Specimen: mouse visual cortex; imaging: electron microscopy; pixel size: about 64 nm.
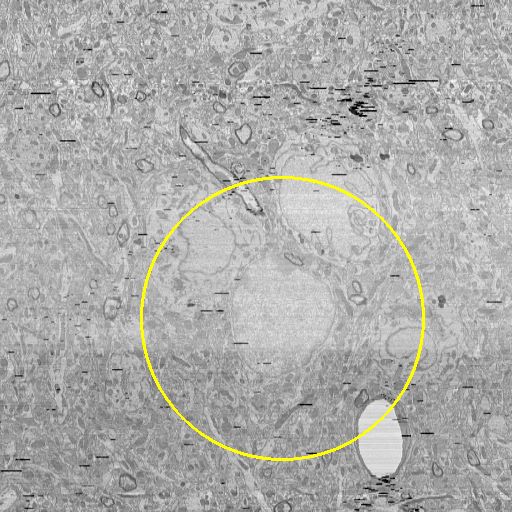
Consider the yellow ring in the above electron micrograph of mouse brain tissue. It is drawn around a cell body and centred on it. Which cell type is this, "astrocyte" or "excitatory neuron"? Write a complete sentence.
The cell in question is an astrocyte.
